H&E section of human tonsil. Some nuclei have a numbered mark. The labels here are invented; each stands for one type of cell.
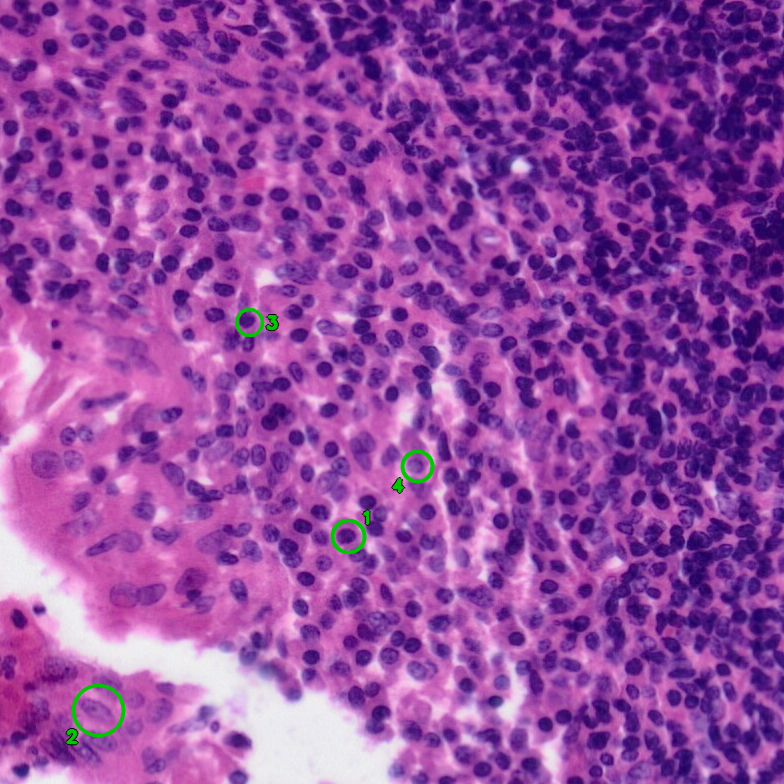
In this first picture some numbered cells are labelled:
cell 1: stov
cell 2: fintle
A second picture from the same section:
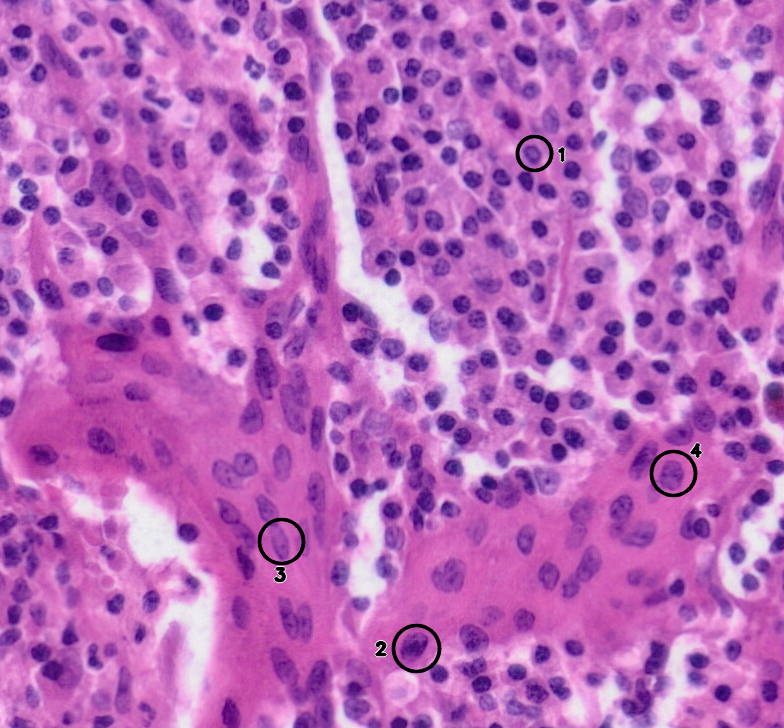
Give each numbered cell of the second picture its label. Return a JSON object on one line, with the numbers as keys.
{"1": "stov", "2": "fintle", "3": "fintle", "4": "fintle"}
